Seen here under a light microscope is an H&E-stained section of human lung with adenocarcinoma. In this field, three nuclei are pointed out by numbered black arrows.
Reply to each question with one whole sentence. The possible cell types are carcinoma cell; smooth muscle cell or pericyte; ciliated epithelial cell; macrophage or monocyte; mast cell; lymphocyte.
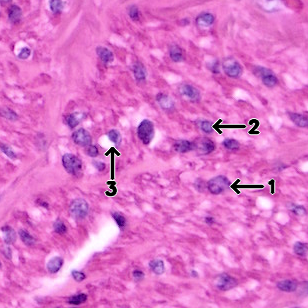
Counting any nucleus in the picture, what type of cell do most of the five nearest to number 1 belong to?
Most of the five nuclei nearest to number 1 are those of smooth muscle cells or pericytes.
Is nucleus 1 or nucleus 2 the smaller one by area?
Nucleus 2 covers less area, with nucleus 1 about 2 times as large.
